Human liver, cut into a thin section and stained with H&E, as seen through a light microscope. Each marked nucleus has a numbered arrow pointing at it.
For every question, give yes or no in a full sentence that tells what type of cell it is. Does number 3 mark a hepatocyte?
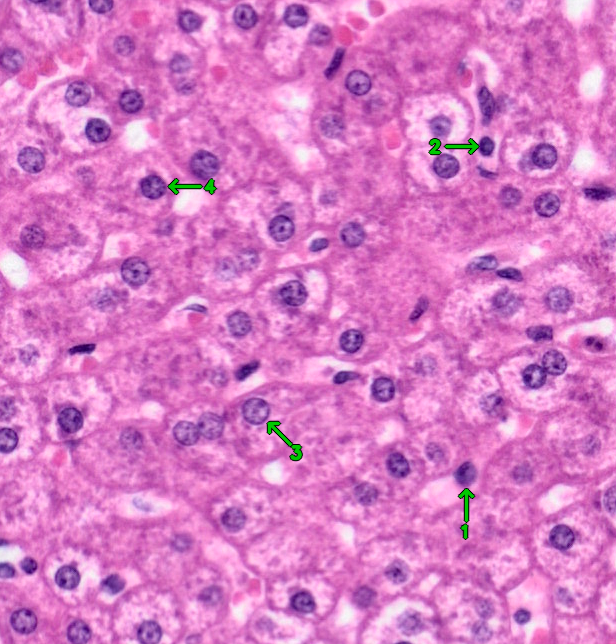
Yes, number 3 marks a cell that is a hepatocyte.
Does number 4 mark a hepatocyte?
Yes, in this section the cell numbered 4 is a hepatocyte.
